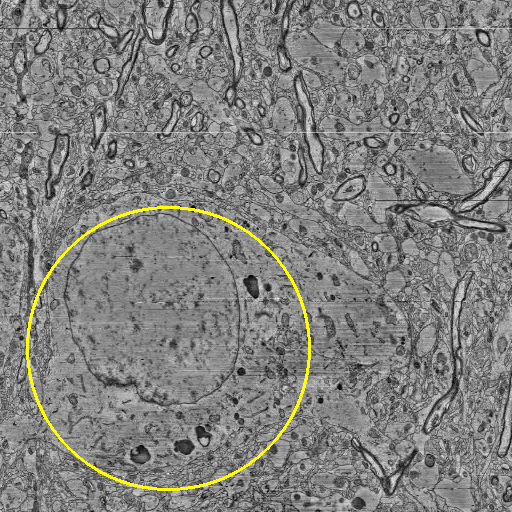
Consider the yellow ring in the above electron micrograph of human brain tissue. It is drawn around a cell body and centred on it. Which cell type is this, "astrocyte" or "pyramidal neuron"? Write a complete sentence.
The cell in question is a pyramidal neuron.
